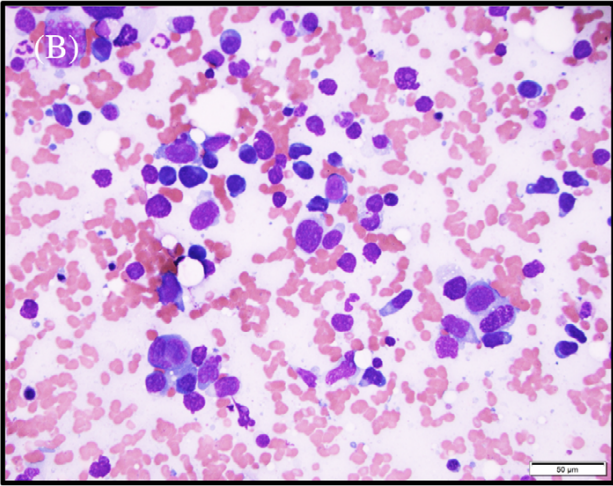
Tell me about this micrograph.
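A marrow smear shows many nucleated cells scattered among pink red blood cells, with a few clear fat droplets. Many of the nucleated cells have round, purple nuclei set to one side and a rim of blue cytoplasm. Several larger cells carry two or more nuclei clustered together. The nucleated cells are numerous and vary in size.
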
